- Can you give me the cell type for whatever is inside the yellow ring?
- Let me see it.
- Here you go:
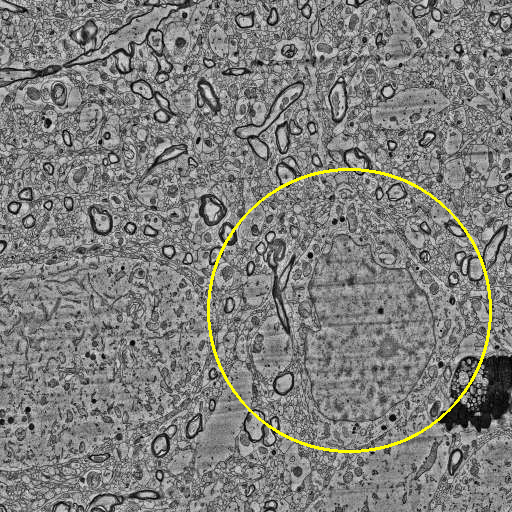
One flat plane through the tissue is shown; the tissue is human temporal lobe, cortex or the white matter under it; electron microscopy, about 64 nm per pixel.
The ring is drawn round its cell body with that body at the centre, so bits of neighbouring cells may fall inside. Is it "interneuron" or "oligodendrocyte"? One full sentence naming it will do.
The cell body in the middle of the ring in this picture belongs to an interneuron.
